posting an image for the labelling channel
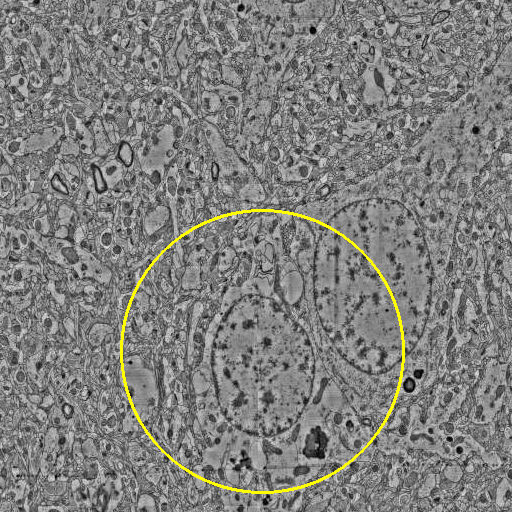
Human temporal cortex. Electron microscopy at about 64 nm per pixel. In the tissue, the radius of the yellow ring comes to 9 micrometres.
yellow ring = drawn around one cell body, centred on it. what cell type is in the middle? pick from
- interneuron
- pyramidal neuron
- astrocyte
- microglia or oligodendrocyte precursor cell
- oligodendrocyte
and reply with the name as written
astrocyte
